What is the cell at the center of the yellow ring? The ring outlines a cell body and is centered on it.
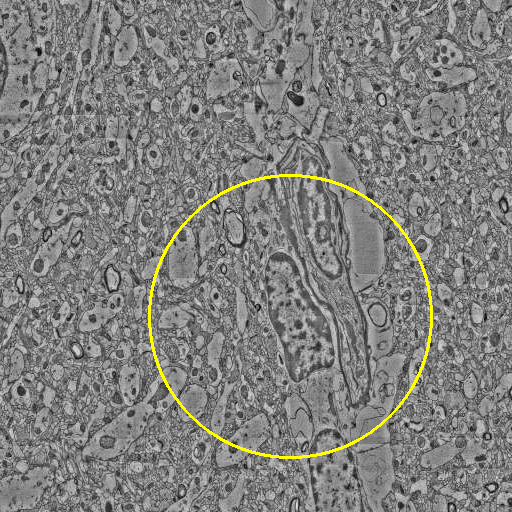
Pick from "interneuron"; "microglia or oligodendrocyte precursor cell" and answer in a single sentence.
The yellow ring is centered on a microglial cell or oligodendrocyte precursor cell.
